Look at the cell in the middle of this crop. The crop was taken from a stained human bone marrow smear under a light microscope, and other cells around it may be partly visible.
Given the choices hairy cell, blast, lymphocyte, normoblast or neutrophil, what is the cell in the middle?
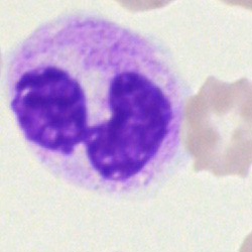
neutrophil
